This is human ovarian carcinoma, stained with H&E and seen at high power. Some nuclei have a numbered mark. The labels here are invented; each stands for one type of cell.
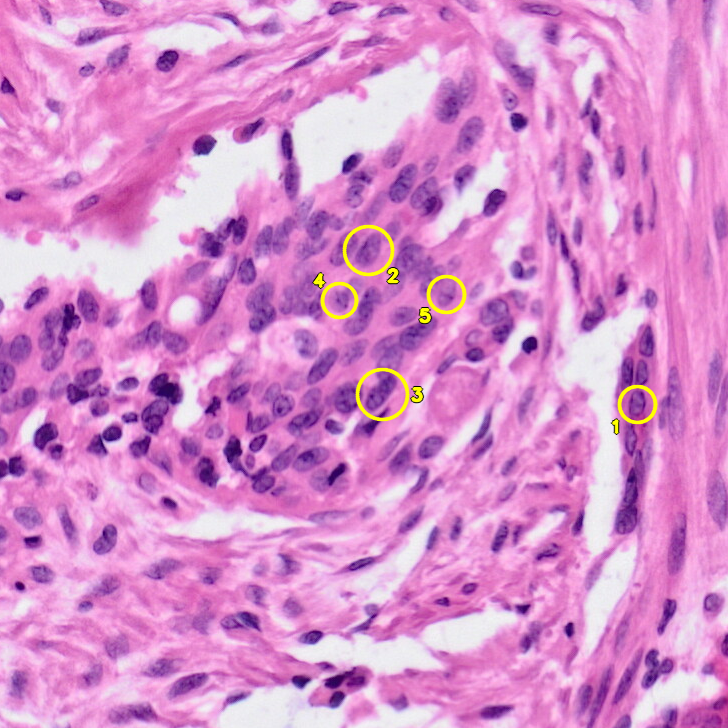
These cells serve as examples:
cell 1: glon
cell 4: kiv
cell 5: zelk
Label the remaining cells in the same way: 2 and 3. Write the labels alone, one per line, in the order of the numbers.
zelk
zelk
